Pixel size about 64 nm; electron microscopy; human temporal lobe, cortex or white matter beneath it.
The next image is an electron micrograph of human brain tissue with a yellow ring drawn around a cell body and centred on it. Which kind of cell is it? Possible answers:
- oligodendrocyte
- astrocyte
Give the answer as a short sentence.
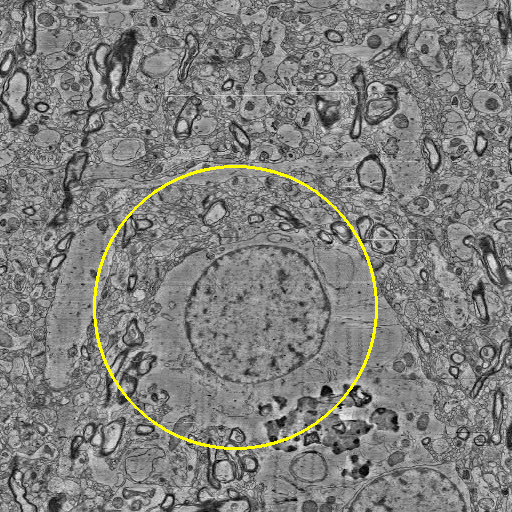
In the ring's centre is an astrocyte.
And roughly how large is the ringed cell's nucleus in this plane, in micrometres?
Roughly 9 micrometers across in this plane.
